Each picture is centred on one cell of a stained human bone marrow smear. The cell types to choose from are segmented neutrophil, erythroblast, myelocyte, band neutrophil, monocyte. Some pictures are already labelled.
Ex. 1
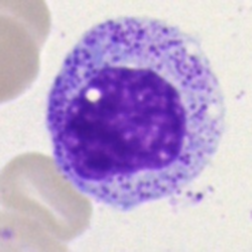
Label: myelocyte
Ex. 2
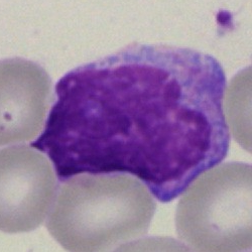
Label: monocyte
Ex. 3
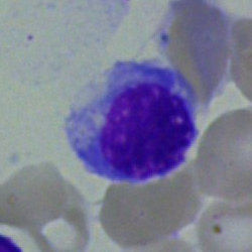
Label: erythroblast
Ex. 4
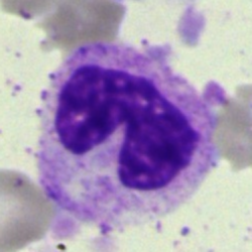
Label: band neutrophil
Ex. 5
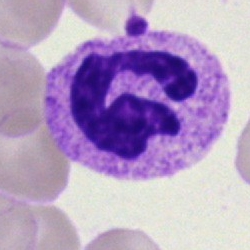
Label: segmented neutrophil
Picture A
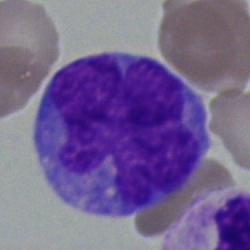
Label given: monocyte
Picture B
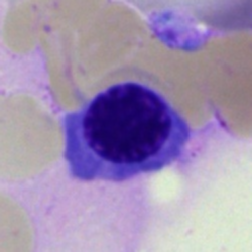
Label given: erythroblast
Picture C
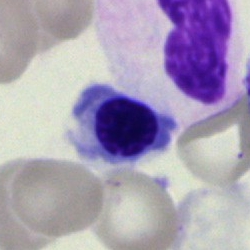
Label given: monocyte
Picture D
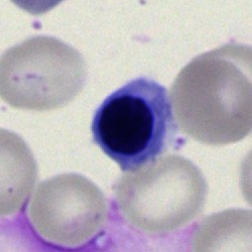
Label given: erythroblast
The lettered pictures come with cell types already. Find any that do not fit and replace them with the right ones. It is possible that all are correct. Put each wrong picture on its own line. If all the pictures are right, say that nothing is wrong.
C: not monocyte but erythroblast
